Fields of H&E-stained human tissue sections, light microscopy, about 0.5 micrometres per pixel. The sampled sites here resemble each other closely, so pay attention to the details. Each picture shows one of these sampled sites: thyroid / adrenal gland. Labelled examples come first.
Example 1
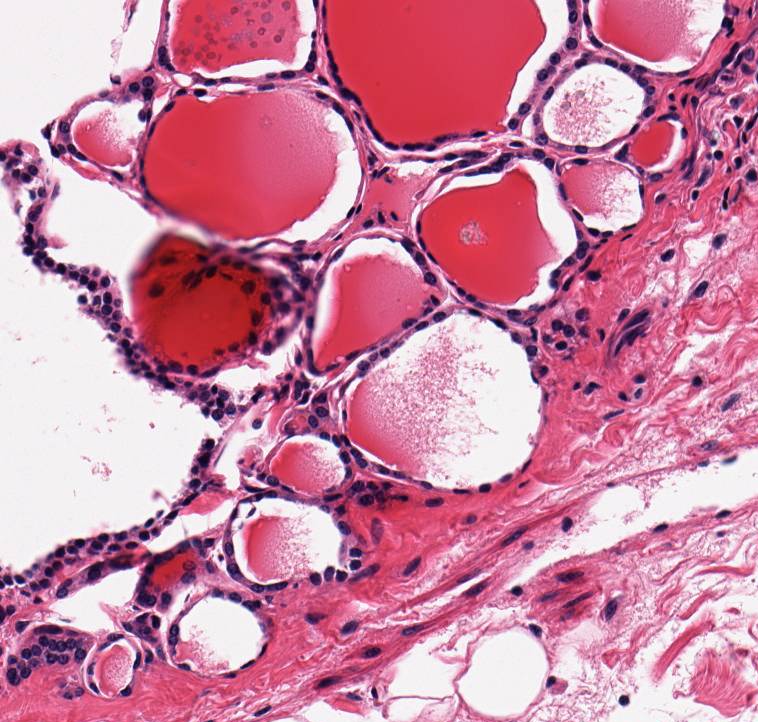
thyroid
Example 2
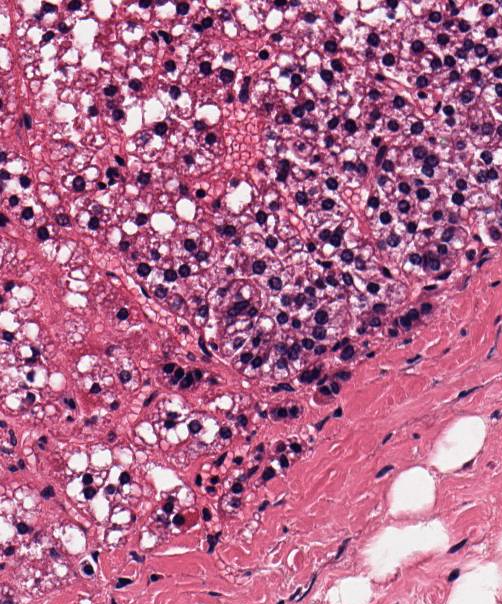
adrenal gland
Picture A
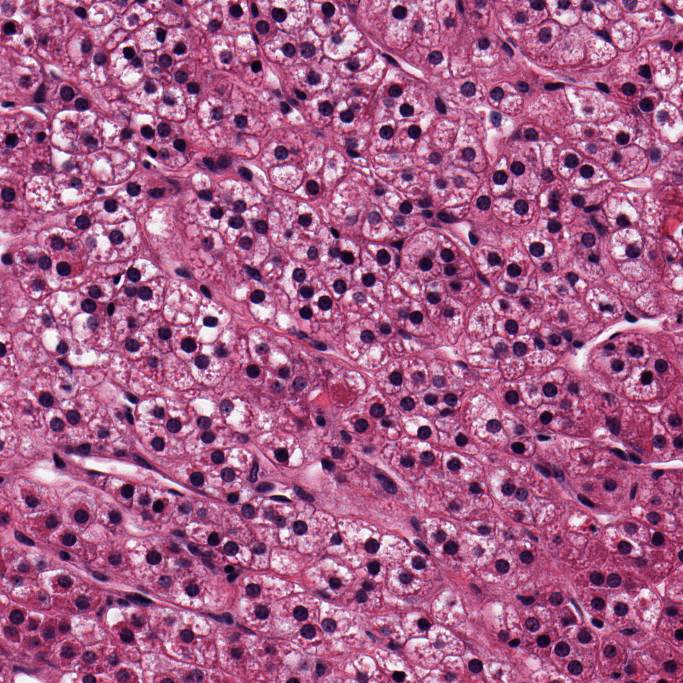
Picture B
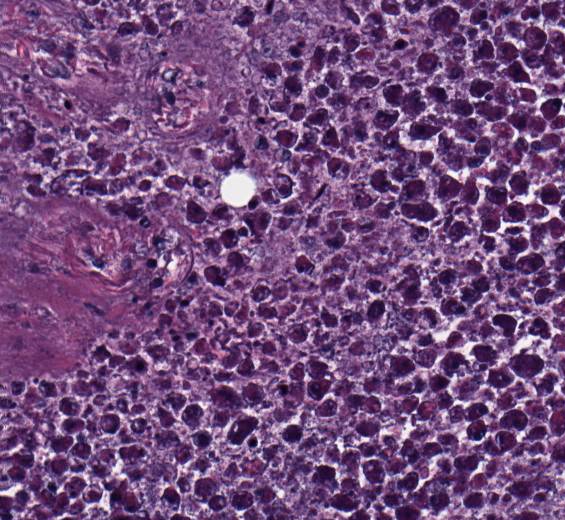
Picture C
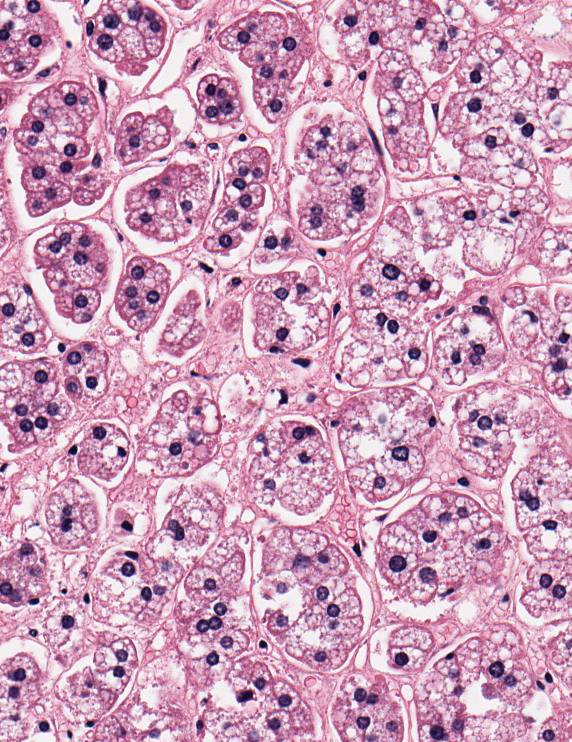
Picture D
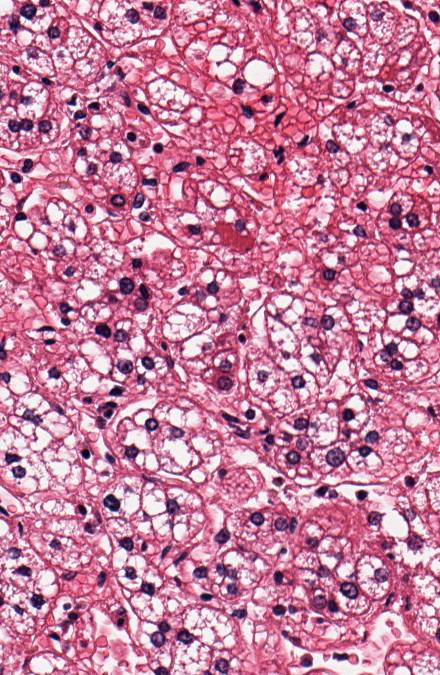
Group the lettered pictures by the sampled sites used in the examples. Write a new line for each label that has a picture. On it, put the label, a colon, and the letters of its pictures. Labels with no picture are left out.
adrenal gland: A, B, C, D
